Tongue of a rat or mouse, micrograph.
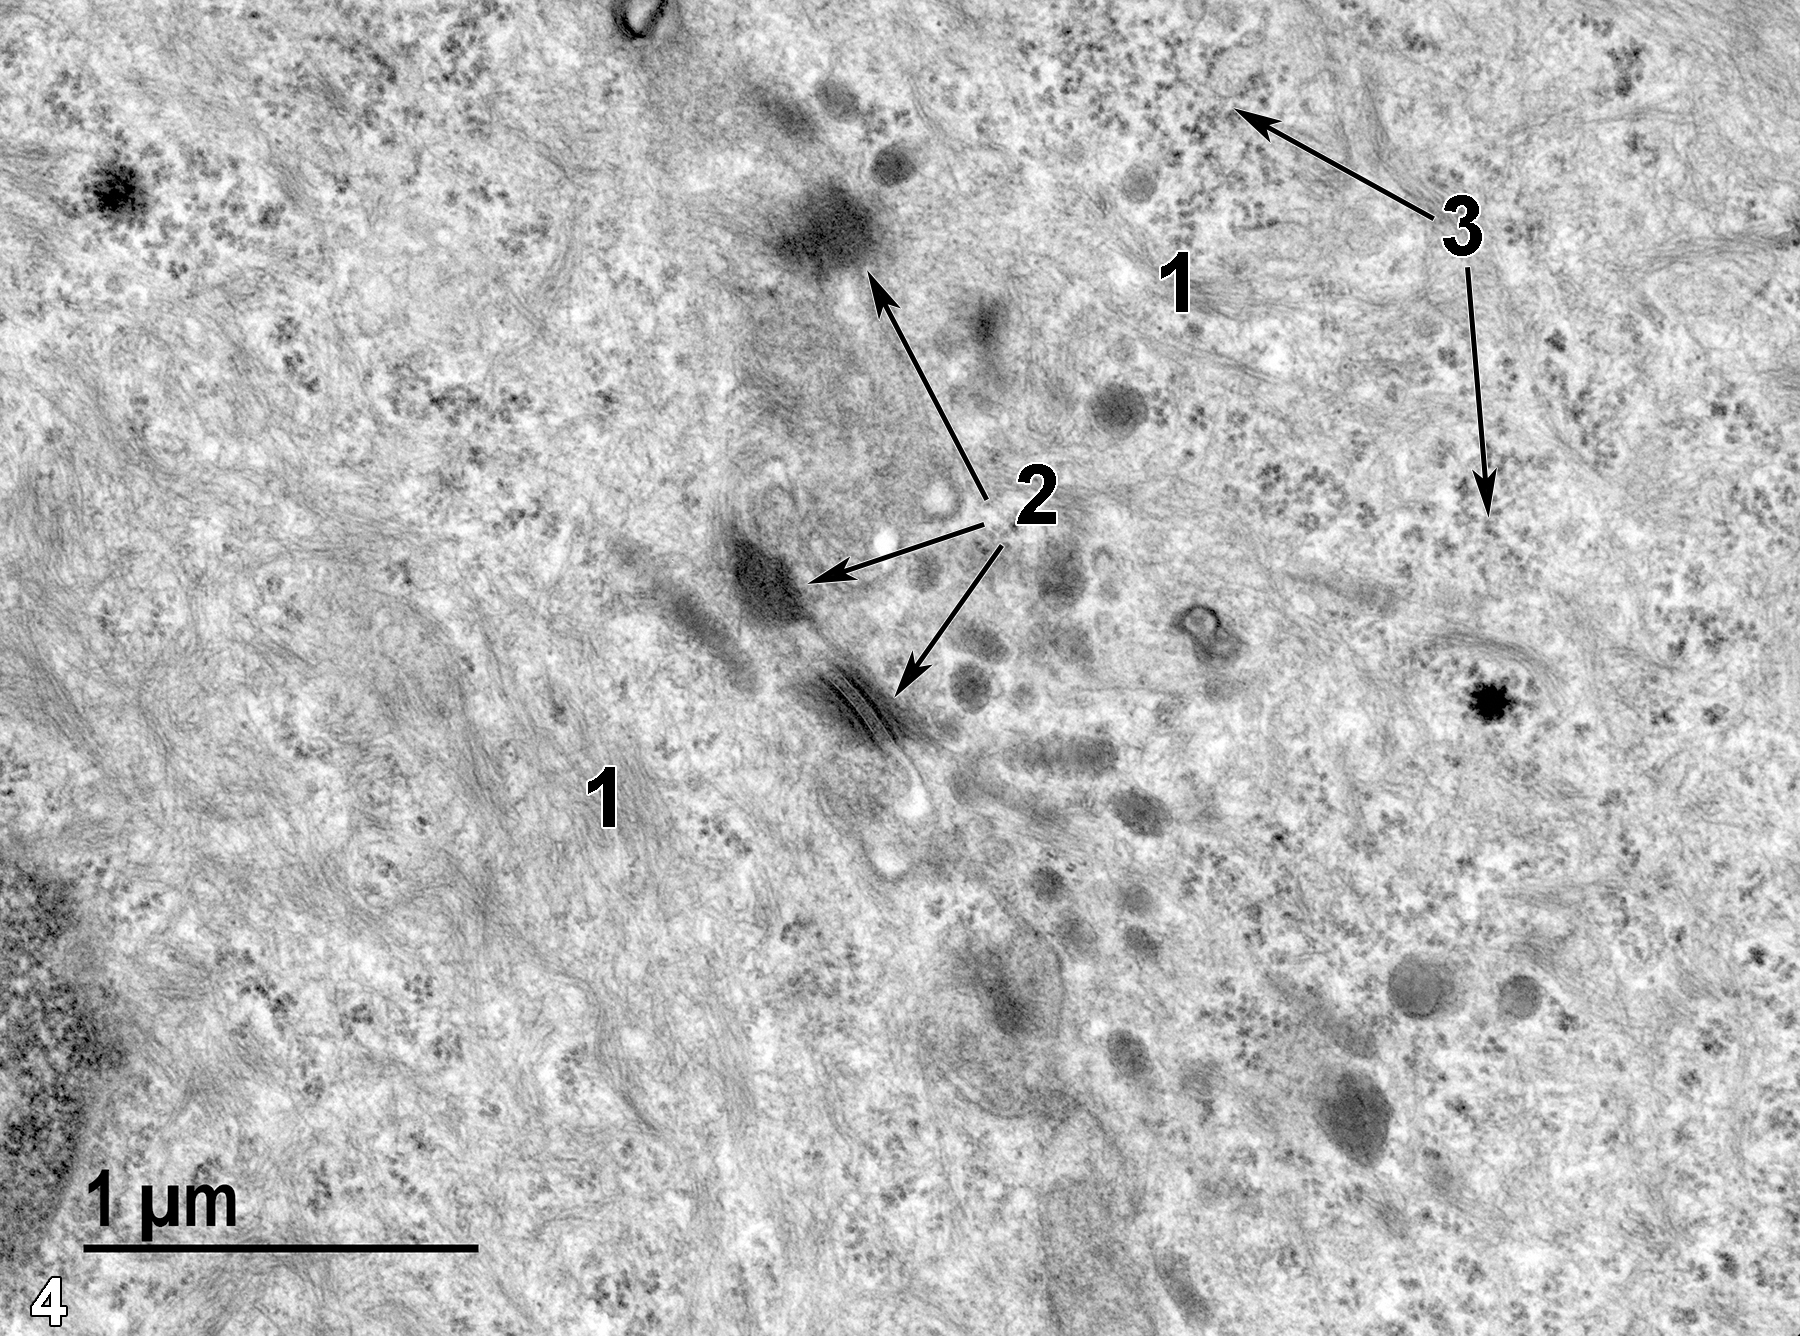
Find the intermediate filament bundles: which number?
1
